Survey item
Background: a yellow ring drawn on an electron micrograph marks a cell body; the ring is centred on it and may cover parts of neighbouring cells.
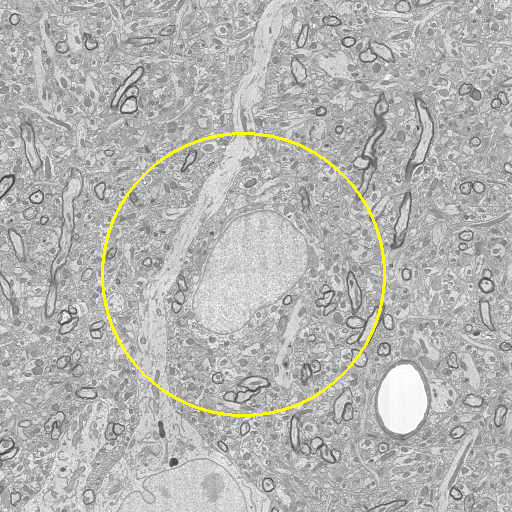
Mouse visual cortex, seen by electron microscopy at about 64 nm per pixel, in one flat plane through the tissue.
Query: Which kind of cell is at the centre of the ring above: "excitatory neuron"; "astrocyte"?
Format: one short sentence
The cell in the middle of the ring is an astrocyte.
